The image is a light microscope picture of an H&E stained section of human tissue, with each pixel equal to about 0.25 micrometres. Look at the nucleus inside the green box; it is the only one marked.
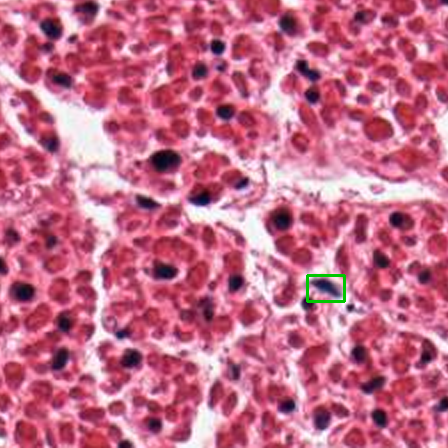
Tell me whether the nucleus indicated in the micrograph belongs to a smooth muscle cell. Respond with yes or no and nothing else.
no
